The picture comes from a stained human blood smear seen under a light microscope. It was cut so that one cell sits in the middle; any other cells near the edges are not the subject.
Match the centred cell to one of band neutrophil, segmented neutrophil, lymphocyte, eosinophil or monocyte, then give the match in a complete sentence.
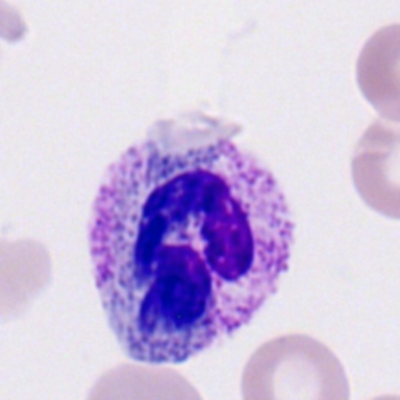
By classification, the middle cell of this crop is a segmented neutrophil.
